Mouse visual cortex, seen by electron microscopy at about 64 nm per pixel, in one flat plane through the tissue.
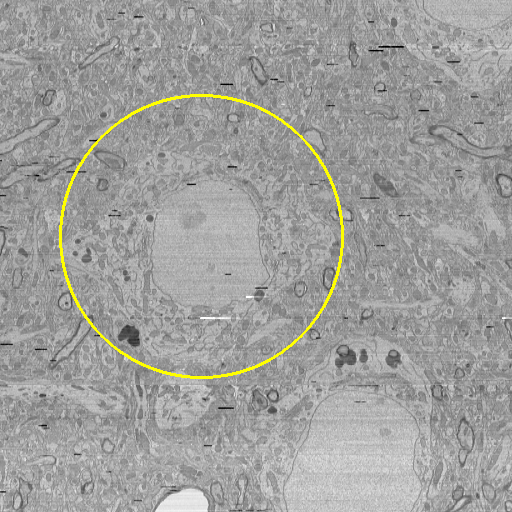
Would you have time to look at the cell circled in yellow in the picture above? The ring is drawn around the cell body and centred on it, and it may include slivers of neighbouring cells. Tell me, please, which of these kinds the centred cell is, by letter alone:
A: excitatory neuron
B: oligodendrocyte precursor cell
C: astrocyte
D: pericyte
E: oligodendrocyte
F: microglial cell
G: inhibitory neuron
G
